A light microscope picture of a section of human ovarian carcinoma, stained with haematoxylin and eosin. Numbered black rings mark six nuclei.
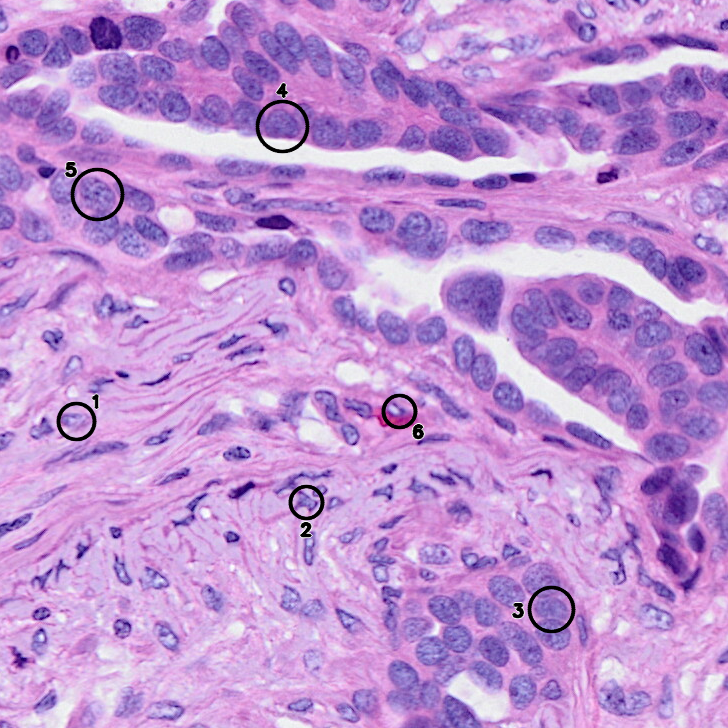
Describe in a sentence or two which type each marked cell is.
Cells 1 and 2 are fibroblasts. Cells 3, 4 and 5 are carcinoma cells. Cell 6 is an endothelial cell.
